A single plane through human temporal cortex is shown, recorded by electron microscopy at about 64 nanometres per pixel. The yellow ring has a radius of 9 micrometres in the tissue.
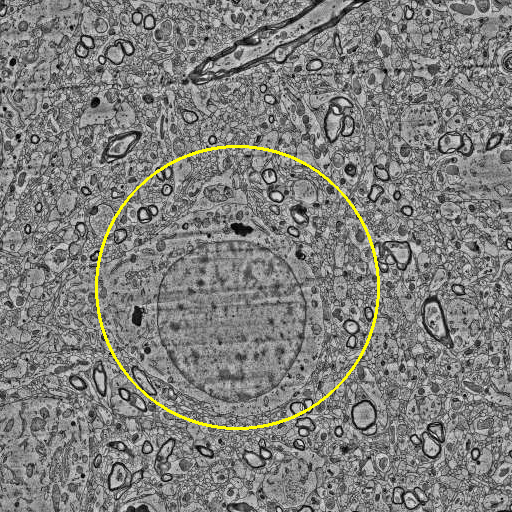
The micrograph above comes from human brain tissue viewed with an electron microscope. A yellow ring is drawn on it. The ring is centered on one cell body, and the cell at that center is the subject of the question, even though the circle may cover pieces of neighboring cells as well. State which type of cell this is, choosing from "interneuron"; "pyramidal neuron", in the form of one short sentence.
The cell the ring is centered on is an interneuron.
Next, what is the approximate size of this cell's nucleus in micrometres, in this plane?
The nucleus is approximately 10 micrometers across in this plane.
